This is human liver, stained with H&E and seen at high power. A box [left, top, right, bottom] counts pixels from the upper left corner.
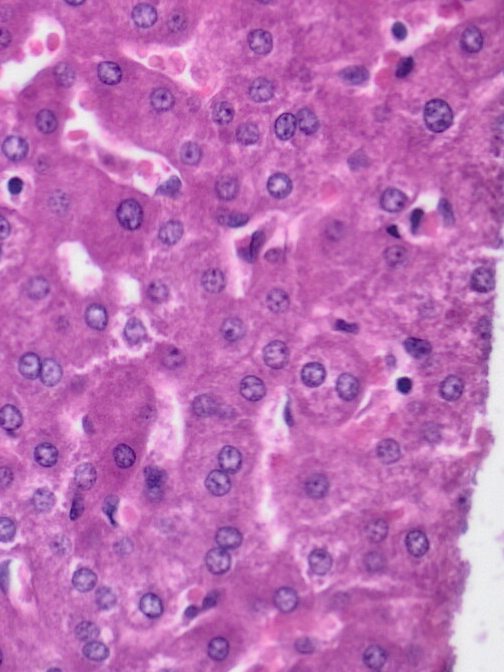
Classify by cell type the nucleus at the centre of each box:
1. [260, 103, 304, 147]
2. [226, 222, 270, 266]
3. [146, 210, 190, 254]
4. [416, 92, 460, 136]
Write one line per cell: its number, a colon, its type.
1: hepatocyte
2: Kupffer cell
3: hepatocyte
4: hepatocyte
